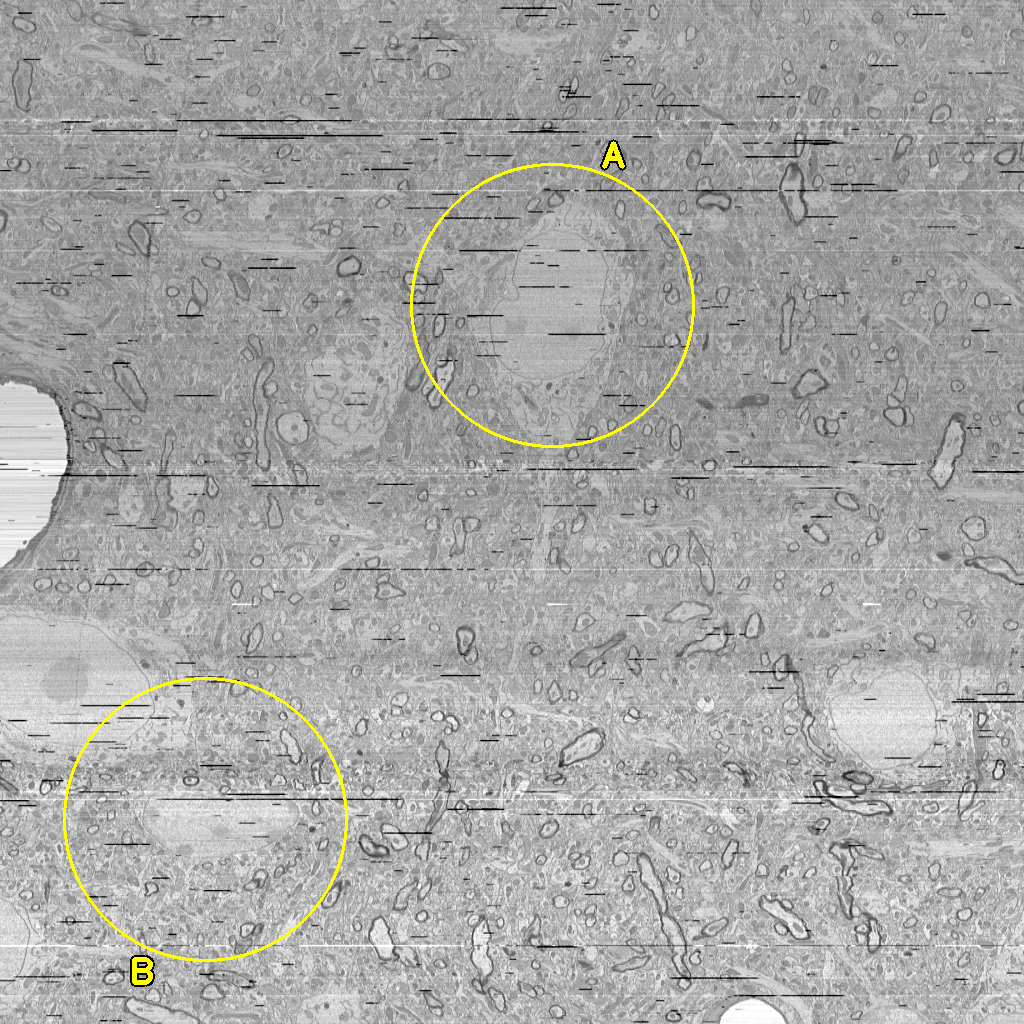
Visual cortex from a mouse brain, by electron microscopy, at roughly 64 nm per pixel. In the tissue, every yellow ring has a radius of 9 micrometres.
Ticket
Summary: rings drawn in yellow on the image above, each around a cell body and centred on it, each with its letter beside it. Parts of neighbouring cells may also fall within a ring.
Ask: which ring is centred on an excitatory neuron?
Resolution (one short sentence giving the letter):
The ring marked A is centred on it.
